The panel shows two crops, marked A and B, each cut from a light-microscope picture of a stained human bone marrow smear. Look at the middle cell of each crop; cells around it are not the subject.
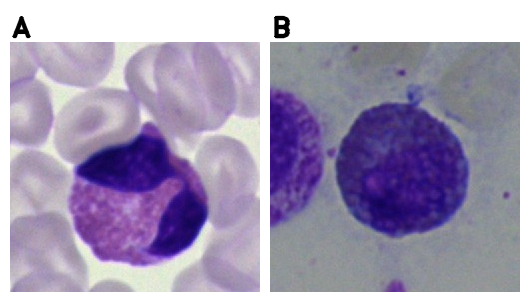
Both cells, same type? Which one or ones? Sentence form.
Yes, the cells at the centres of the two crops are eosinophils.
